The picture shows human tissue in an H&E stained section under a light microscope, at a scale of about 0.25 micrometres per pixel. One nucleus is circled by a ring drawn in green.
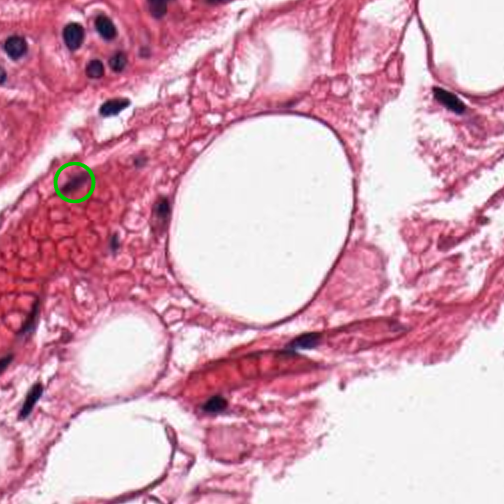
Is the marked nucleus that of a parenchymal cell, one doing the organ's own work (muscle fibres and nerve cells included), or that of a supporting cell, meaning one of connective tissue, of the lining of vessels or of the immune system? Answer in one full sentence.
The cell that the marked nucleus belongs to is a supporting cell.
